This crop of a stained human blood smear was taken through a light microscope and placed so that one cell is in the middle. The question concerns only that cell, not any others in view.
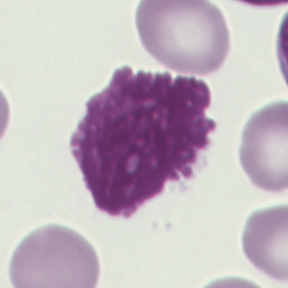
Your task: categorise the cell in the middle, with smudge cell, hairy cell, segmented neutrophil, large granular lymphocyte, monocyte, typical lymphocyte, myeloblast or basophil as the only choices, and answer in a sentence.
The cell sitting right in the middle is a smudge cell.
